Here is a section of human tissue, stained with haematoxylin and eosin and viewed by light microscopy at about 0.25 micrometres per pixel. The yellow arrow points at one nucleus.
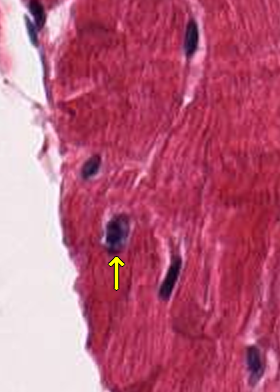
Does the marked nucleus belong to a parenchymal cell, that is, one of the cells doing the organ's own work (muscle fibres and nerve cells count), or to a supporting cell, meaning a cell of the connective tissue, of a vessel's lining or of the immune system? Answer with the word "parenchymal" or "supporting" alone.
parenchymal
